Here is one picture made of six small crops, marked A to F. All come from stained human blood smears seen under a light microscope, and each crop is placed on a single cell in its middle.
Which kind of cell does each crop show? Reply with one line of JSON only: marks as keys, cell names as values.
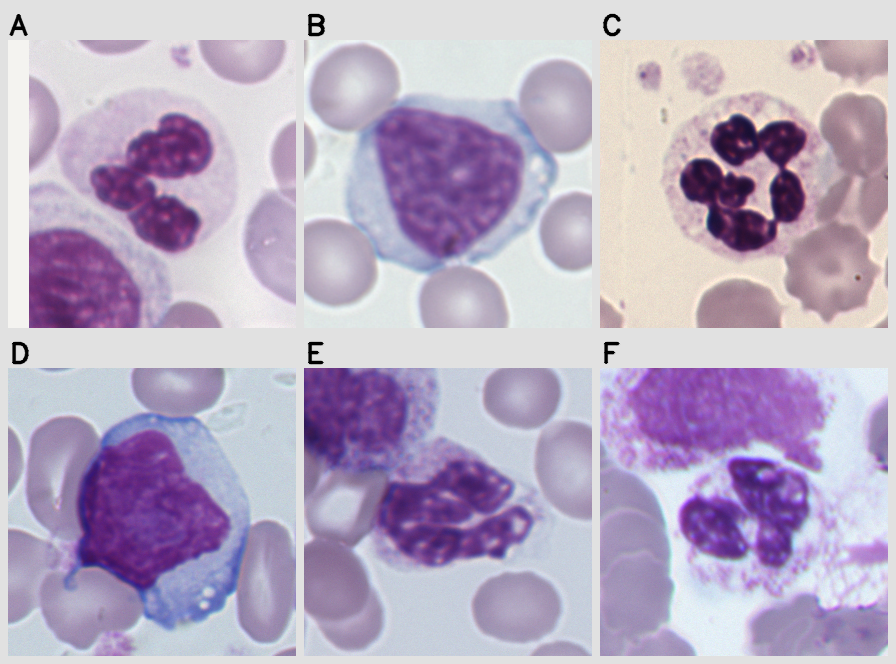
{"A": "segmented neutrophil", "B": "myeloblast", "C": "segmented neutrophil", "D": "myeloblast", "E": "segmented neutrophil", "F": "segmented neutrophil"}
